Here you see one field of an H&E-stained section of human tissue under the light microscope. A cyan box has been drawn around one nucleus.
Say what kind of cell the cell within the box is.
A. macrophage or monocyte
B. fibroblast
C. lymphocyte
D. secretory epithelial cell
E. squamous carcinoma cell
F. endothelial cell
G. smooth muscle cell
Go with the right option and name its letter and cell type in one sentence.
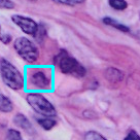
As the cell within the box is a lymphocyte, the correct choice is option C.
